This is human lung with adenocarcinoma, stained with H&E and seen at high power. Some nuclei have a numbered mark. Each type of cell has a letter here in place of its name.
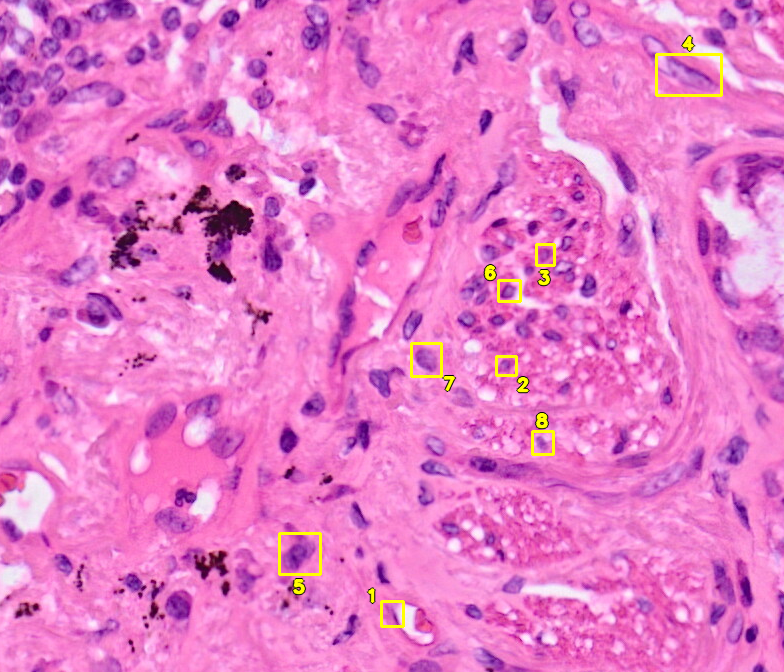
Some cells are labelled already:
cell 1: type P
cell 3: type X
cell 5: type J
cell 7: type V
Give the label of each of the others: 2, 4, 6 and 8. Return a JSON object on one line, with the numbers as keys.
{"2": "type X", "4": "type P", "6": "type X", "8": "type X"}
